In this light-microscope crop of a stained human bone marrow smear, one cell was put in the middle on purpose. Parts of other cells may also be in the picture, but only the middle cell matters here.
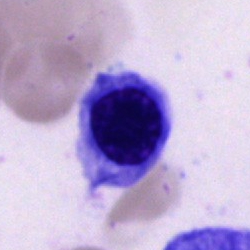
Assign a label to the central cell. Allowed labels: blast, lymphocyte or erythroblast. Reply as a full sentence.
This particular crop is centered on an erythroblast.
